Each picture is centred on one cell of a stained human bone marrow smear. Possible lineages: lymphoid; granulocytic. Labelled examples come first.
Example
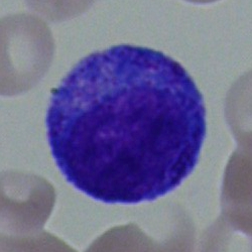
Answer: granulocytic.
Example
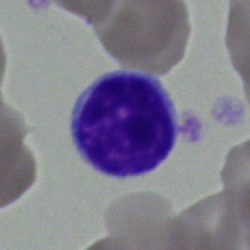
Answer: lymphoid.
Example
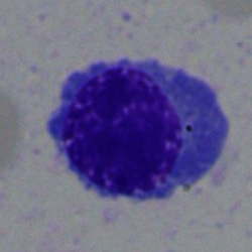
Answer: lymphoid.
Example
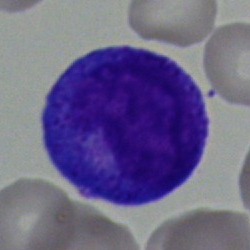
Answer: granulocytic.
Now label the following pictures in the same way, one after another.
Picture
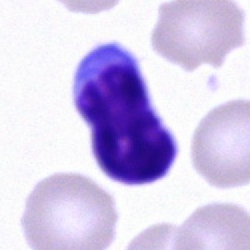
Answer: lymphoid.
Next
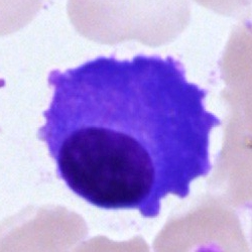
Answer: lymphoid.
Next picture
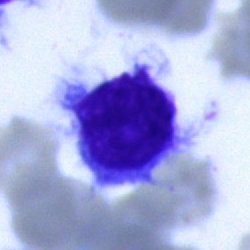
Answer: lymphoid.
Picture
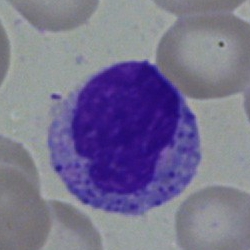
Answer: granulocytic.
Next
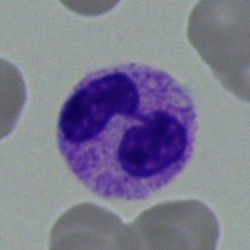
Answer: granulocytic.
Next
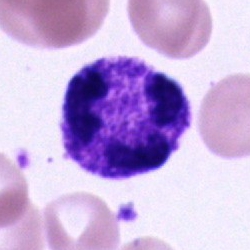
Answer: granulocytic.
